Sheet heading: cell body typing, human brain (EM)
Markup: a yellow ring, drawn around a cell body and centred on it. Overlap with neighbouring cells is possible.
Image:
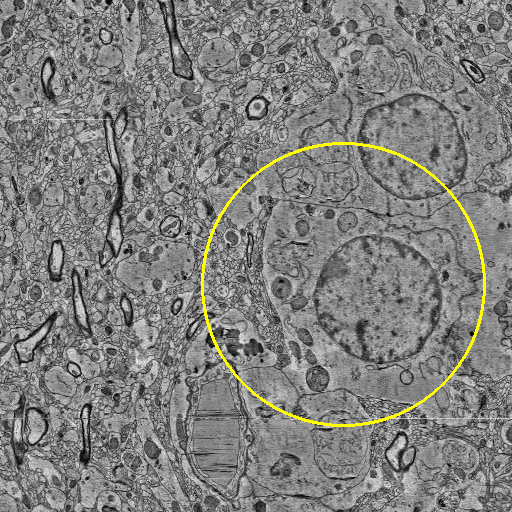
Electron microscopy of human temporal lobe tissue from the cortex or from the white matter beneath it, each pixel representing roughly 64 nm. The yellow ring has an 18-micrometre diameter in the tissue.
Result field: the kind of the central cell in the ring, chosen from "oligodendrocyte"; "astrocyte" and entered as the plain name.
astrocyte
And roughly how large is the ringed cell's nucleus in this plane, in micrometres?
In this plane the nucleus is about 8 micrometres across.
